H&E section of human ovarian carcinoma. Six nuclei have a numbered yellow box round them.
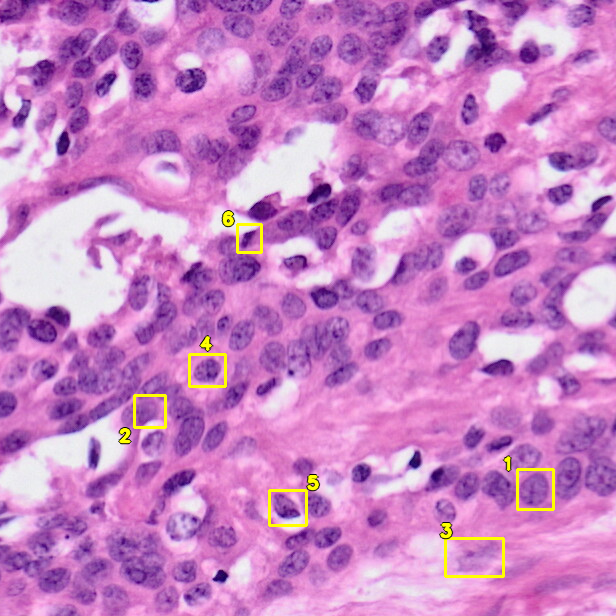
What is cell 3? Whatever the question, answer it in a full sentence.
The mark numbered 3 indicates the nucleus of a fibroblast.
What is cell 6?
The cell pointed out as number 6 is a carcinoma cell.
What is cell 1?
The cell that bears the number 1 is a carcinoma cell.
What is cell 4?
The cell assigned the number 4 is a macrophage or monocyte.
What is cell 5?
Looking at the numbered marks, cell 5 is a carcinoma cell.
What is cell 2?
The nucleus labelled 2 belongs to a carcinoma cell.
